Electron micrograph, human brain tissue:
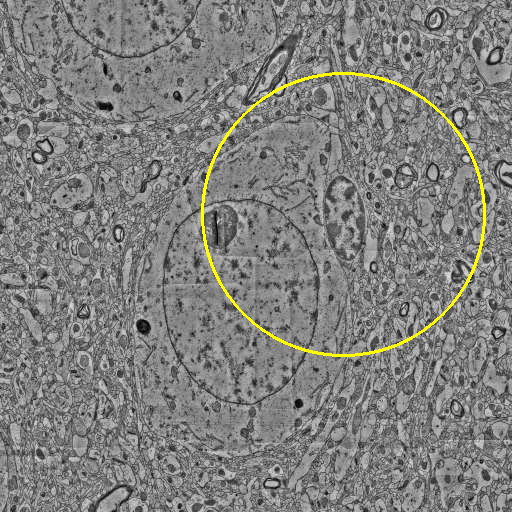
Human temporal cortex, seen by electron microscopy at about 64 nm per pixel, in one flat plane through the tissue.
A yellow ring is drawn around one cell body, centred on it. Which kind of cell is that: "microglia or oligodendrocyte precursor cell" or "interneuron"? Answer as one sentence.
It is a microglial cell or oligodendrocyte precursor cell at the centre of the ring.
